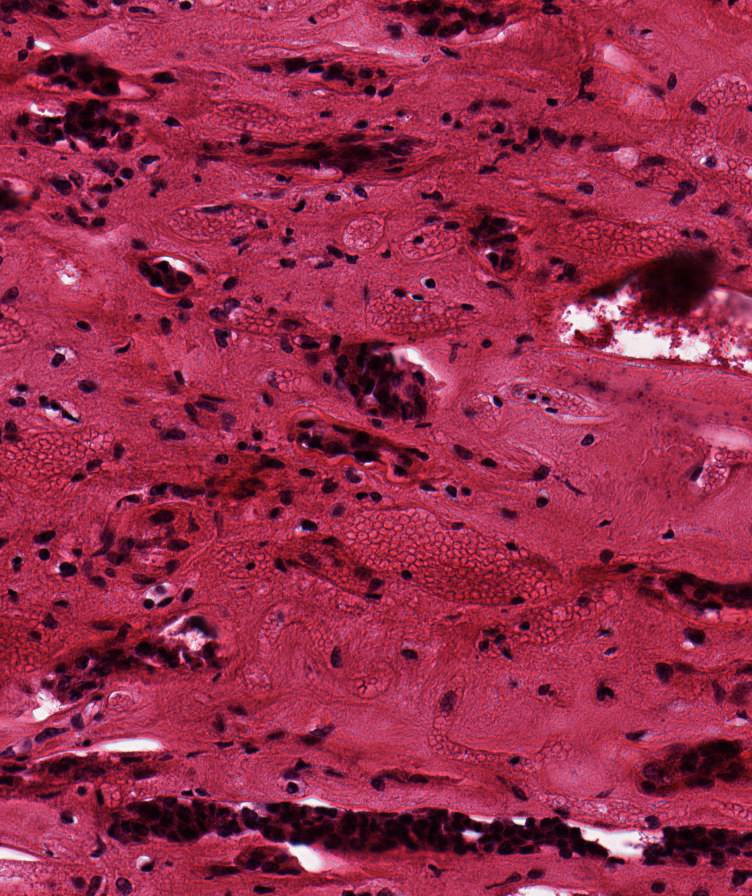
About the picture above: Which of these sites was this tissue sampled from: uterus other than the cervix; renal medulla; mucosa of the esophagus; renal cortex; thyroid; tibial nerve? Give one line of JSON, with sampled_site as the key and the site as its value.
{"sampled_site": "renal medulla"}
